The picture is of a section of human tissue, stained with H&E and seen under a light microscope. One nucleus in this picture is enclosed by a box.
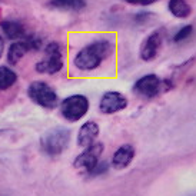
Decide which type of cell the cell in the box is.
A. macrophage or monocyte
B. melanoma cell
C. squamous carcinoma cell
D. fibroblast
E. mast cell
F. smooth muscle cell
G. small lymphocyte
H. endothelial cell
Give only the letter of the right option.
E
